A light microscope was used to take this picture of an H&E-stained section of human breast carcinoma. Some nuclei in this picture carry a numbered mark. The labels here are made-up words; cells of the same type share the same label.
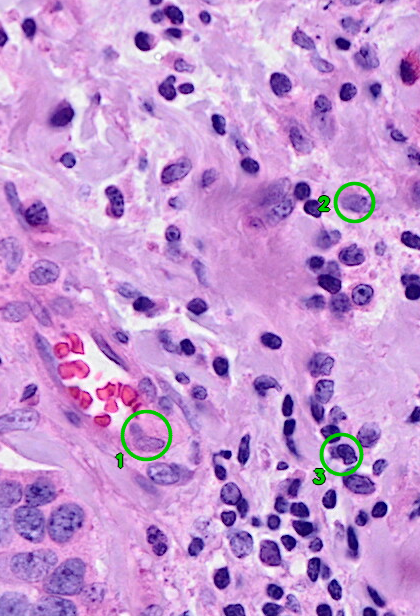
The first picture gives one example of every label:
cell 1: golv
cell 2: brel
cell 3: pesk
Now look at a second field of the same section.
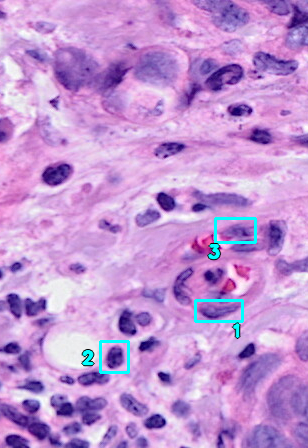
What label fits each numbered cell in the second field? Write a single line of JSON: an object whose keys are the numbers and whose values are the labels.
{"1": "golv", "2": "pesk", "3": "golv"}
